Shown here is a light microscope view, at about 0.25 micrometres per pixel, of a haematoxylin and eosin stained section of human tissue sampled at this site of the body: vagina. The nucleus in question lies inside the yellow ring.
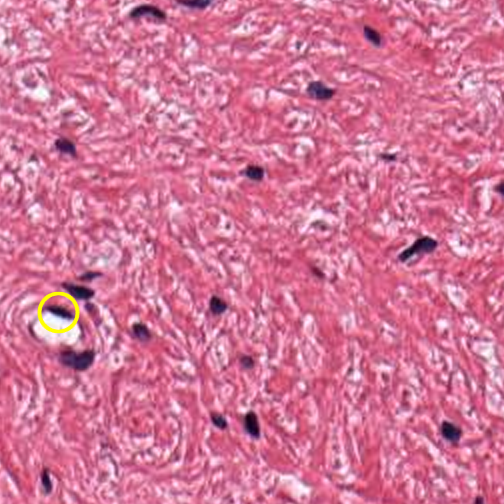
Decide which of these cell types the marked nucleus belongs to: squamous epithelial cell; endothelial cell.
endothelial cell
